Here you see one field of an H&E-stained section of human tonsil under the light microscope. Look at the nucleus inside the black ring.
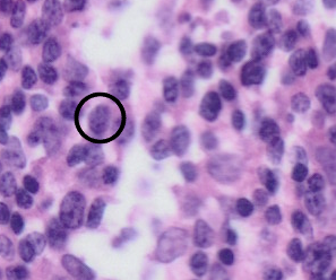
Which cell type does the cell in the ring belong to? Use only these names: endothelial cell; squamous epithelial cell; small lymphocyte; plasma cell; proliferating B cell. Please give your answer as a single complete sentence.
Among the cells in this section, the cell in the ring is a proliferating B cell.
